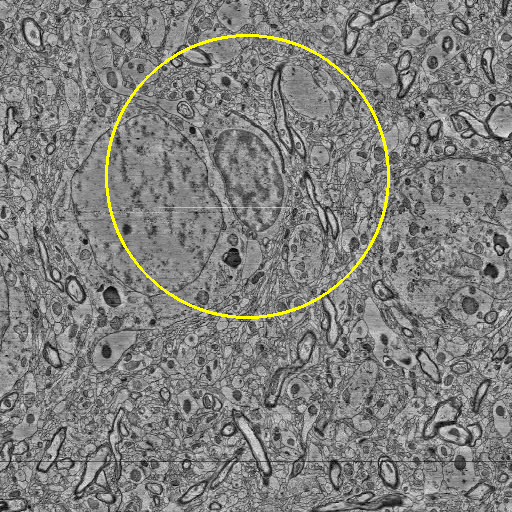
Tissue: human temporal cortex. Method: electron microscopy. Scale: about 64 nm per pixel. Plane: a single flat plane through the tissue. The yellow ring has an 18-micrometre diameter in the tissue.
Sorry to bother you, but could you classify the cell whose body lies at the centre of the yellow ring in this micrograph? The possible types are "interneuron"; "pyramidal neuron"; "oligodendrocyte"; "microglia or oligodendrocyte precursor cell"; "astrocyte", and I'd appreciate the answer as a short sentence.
The ringed cell body is that of an oligodendrocyte.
